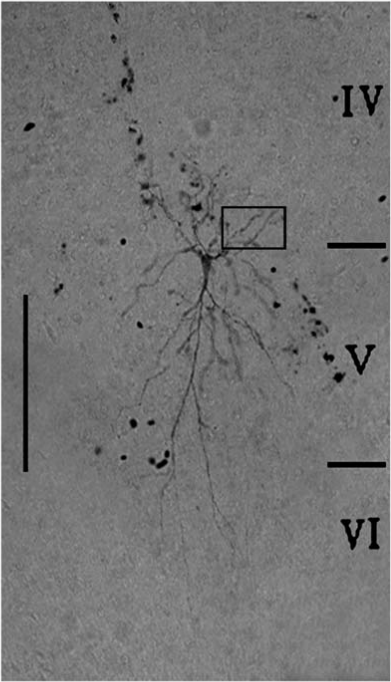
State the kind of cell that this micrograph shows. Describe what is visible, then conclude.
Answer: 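Shorter dendrites branch from the upper side of the cell body.
Inverted pyramidal cell.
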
